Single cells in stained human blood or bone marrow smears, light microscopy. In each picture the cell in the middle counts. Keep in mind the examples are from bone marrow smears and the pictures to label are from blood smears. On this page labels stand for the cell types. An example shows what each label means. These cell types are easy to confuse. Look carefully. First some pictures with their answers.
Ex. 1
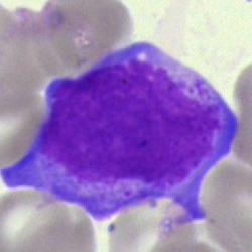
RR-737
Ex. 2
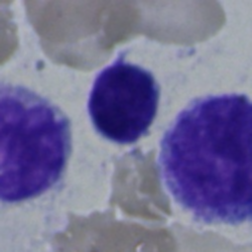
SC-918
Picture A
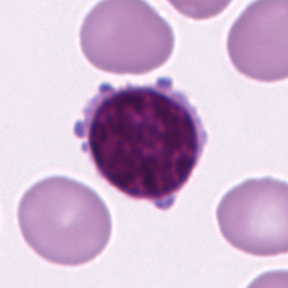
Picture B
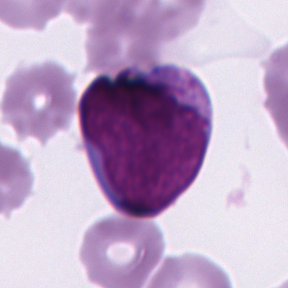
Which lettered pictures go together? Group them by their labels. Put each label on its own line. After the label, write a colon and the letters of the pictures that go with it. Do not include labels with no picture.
RR-737: B
SC-918: A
